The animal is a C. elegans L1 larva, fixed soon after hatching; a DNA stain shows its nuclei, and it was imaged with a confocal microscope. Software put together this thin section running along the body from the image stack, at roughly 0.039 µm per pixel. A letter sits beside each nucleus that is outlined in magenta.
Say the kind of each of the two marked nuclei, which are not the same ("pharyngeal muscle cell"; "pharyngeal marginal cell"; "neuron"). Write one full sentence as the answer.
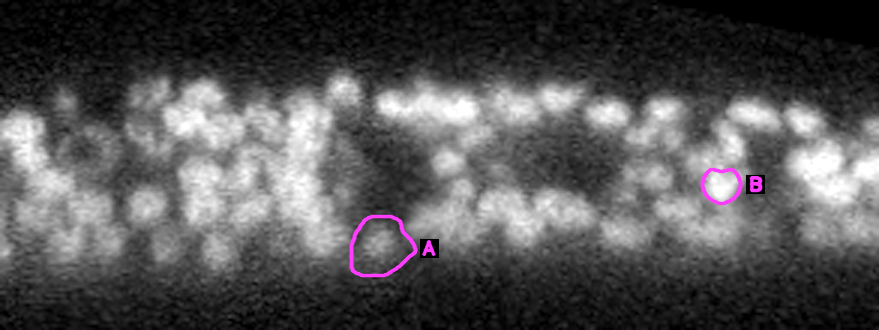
The nucleus A is that of a neuron, while B is that of a pharyngeal muscle cell.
